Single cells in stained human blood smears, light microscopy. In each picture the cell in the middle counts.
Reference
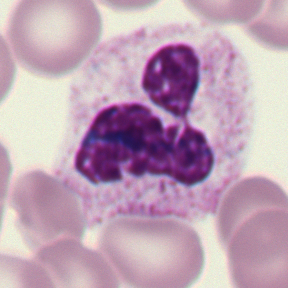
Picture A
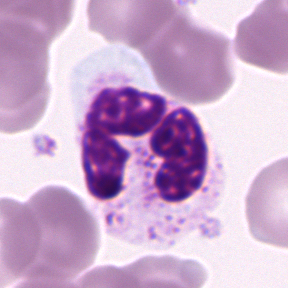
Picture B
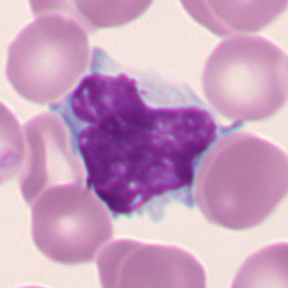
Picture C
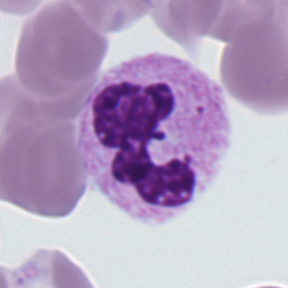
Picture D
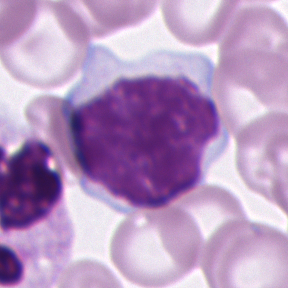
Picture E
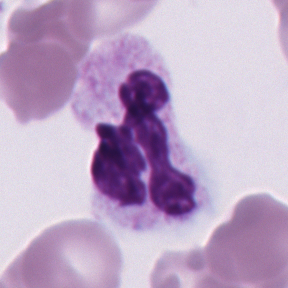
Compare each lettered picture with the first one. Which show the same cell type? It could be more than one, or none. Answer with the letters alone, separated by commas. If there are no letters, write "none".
A, C, E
